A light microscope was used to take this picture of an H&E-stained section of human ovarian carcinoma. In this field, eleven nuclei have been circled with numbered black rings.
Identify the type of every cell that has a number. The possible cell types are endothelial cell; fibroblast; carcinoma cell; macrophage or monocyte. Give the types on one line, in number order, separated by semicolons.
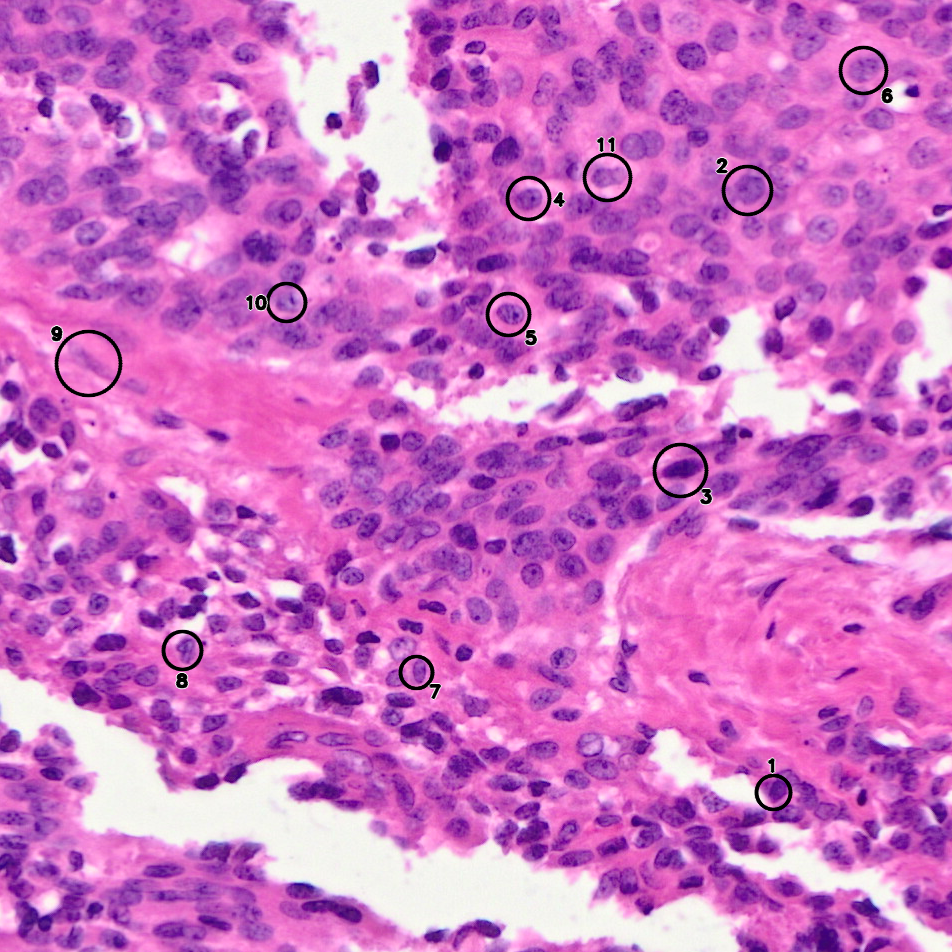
carcinoma cell; carcinoma cell; carcinoma cell; macrophage or monocyte; macrophage or monocyte; carcinoma cell; macrophage or monocyte; macrophage or monocyte; fibroblast; macrophage or monocyte; macrophage or monocyte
